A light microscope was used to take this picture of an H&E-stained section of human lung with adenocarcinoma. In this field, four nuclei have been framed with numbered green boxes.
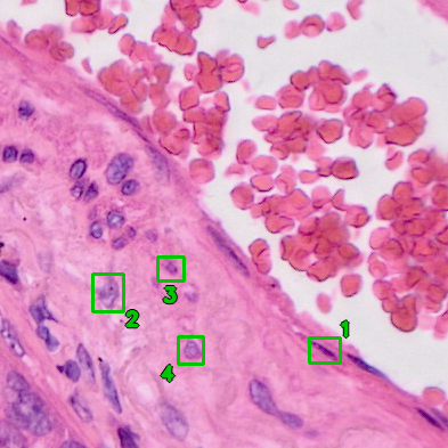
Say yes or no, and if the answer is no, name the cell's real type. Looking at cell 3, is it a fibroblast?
No, it is a smooth muscle cell or pericyte.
